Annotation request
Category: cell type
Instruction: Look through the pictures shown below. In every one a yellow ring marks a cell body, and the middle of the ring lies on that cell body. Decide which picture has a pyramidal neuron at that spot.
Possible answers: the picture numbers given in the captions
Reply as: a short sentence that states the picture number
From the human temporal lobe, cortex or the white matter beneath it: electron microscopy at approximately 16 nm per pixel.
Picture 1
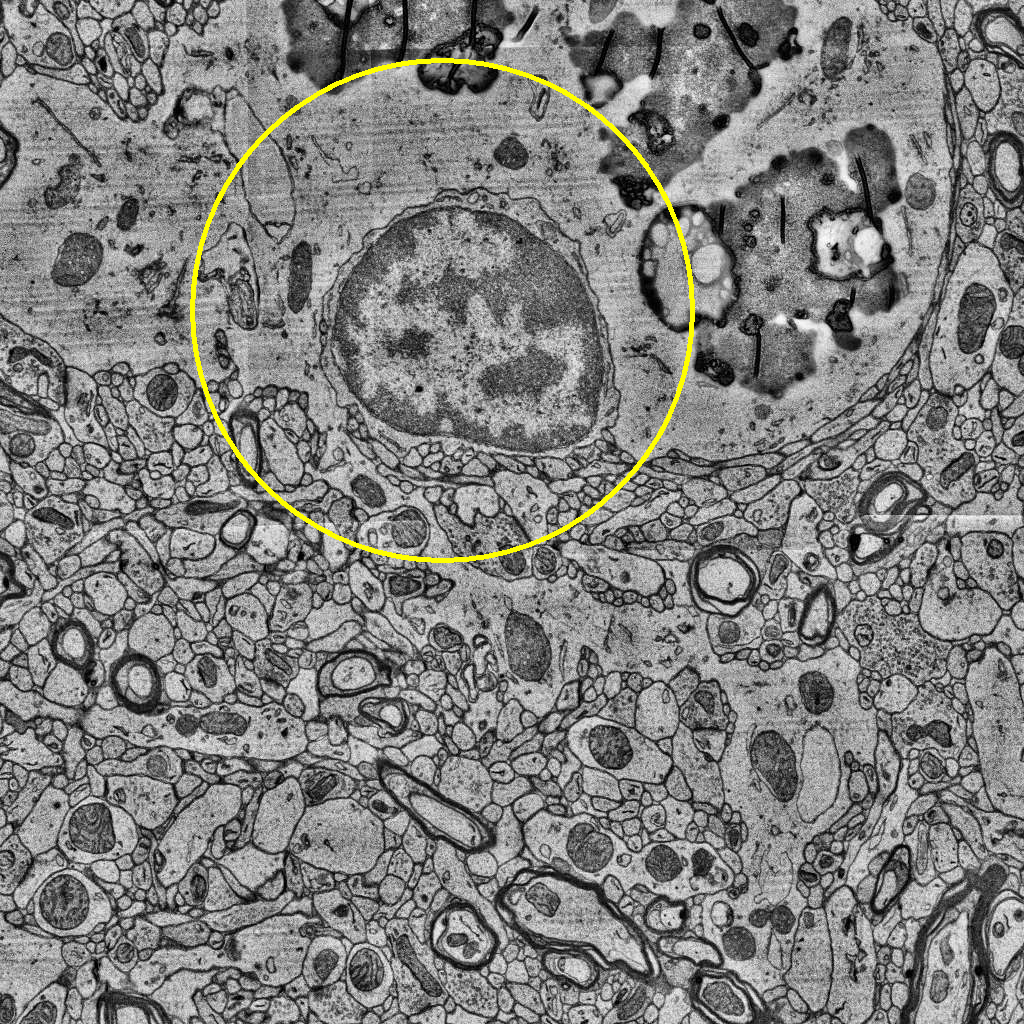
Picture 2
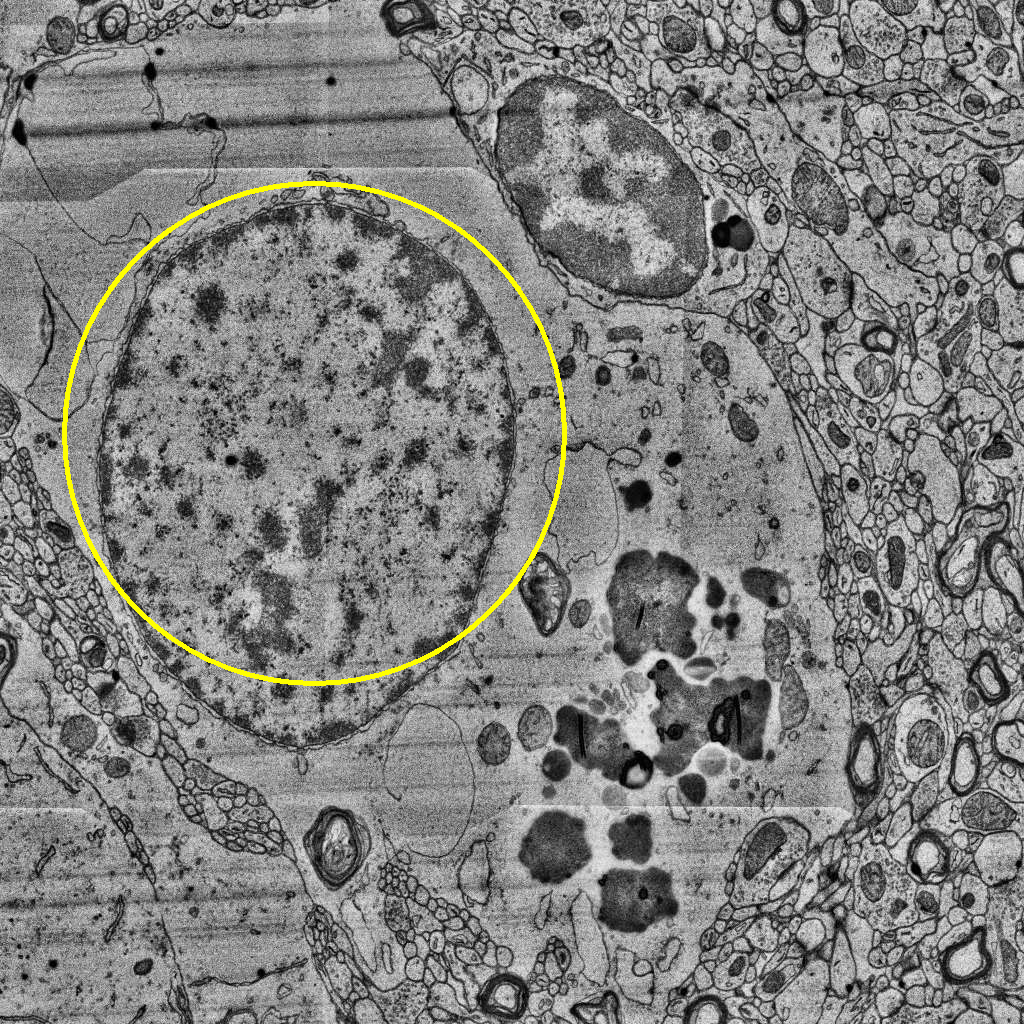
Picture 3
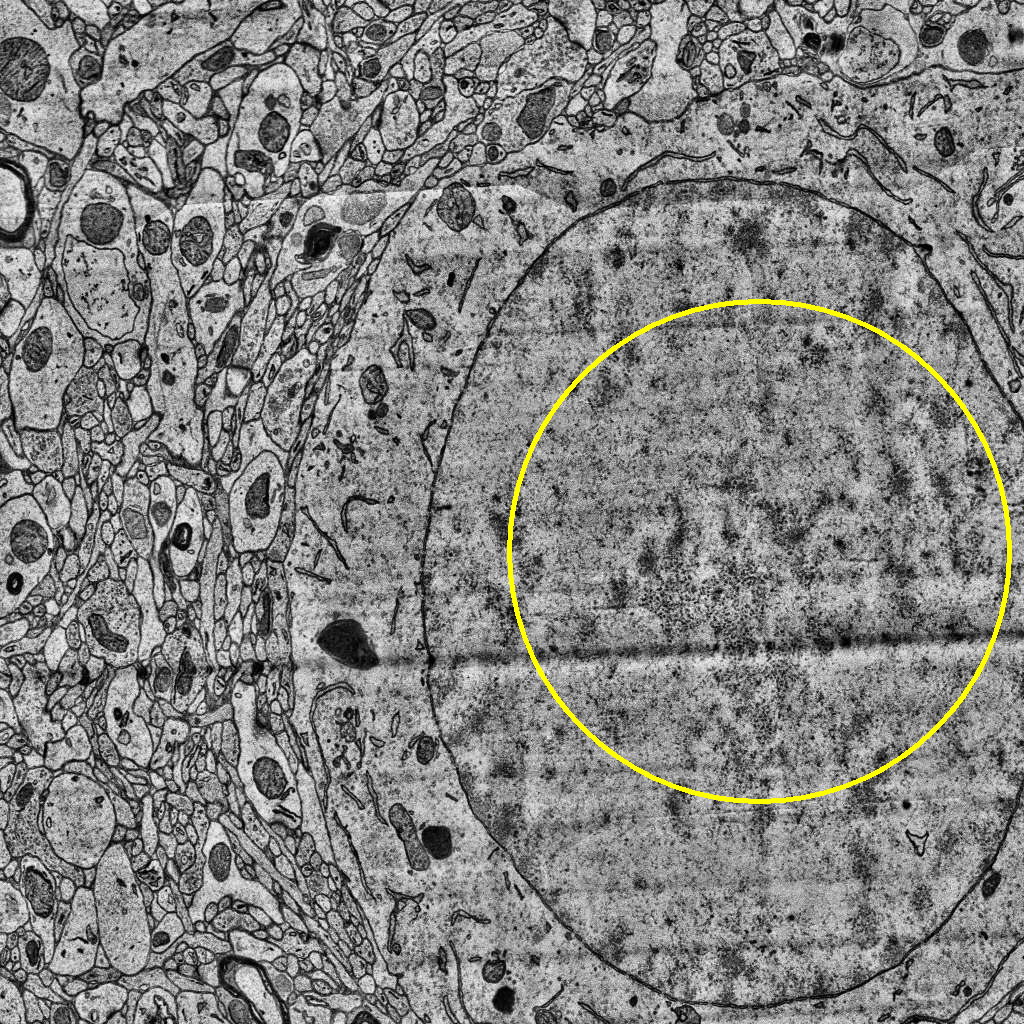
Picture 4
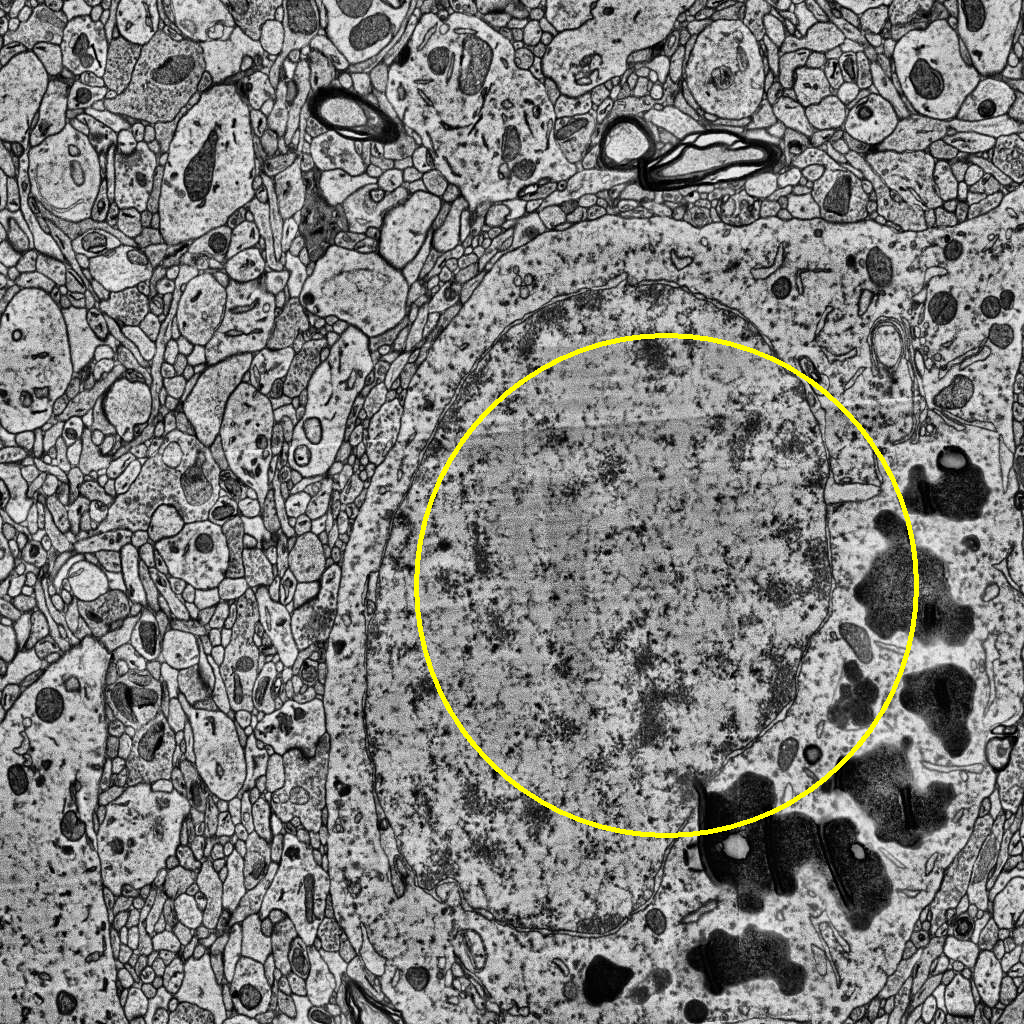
It is in Picture 3.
